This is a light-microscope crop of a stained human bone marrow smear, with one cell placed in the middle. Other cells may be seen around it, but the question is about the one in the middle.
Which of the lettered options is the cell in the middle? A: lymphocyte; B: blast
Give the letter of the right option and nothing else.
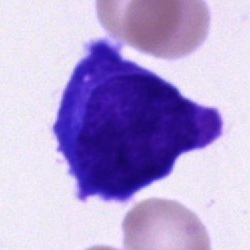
B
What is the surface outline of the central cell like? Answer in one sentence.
Around its circumference, the cell has an uneven edge, ragged or projecting in places.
